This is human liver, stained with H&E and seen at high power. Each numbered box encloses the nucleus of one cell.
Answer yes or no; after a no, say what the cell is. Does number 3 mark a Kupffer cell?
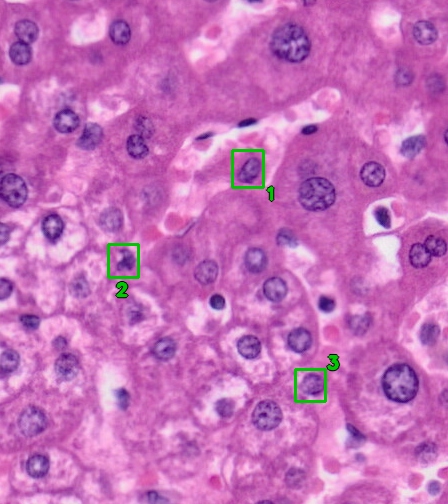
No, it is a hepatocyte.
